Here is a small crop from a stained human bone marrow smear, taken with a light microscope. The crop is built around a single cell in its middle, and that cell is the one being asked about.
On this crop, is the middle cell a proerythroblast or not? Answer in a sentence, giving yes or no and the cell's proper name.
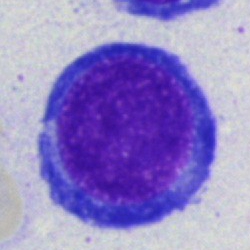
Yes, the cell of interest in the centre is a proerythroblast.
